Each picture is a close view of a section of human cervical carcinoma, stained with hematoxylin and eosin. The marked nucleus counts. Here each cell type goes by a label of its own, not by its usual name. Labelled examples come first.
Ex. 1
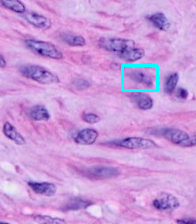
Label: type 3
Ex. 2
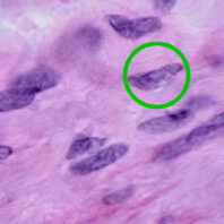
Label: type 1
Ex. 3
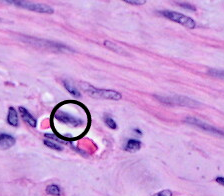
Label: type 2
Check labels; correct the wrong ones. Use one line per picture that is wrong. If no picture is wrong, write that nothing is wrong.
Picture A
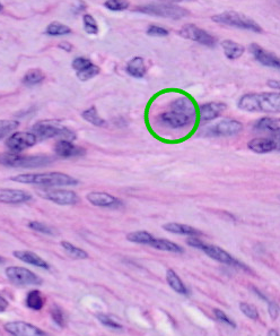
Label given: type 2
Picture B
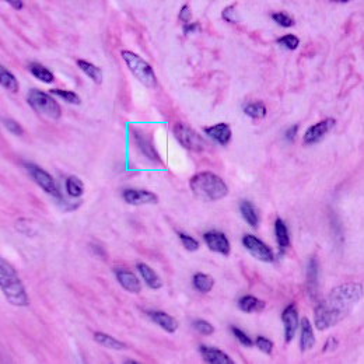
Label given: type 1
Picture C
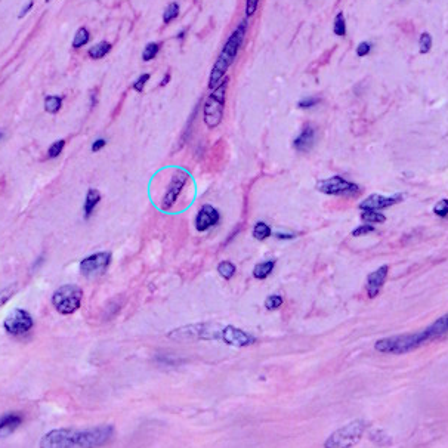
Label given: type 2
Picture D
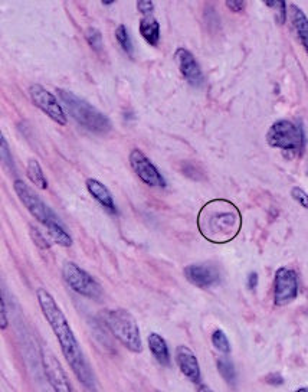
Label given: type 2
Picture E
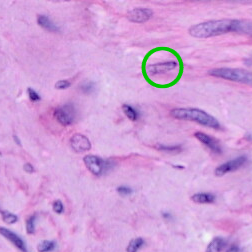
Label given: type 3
B: change type 1 to type 2
D: change type 2 to type 3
